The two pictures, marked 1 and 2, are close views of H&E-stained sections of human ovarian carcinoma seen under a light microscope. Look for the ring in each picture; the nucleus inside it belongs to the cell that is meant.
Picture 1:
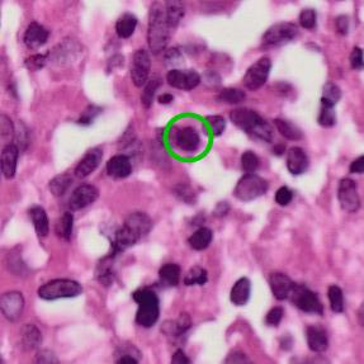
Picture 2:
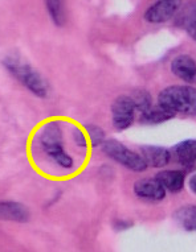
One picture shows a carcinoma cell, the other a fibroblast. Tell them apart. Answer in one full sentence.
Picture 1 is of a carcinoma cell, and picture 2 is of a fibroblast.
